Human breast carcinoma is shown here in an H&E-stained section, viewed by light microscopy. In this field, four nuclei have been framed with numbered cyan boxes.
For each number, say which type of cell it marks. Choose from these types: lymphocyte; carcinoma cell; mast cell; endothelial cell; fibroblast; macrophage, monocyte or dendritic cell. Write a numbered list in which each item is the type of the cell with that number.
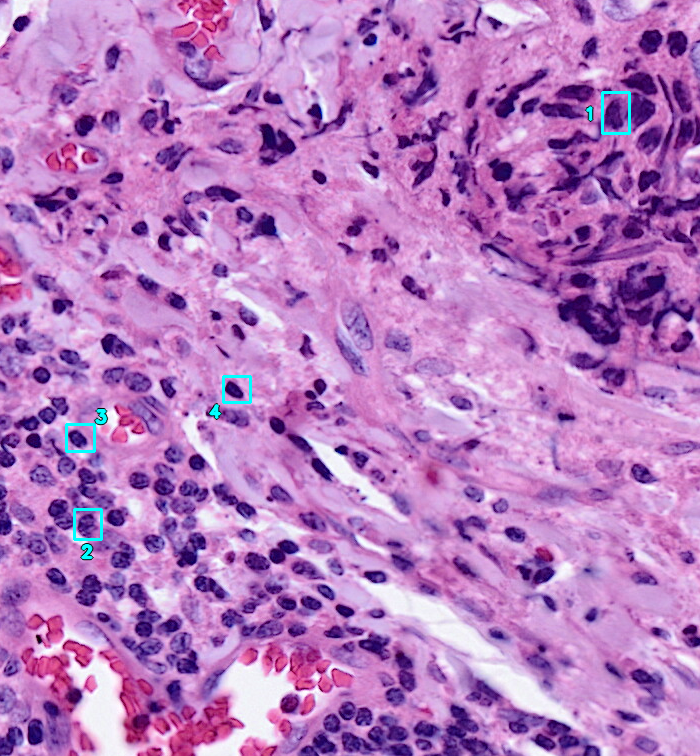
1. carcinoma cell
2. lymphocyte
3. lymphocyte
4. lymphocyte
